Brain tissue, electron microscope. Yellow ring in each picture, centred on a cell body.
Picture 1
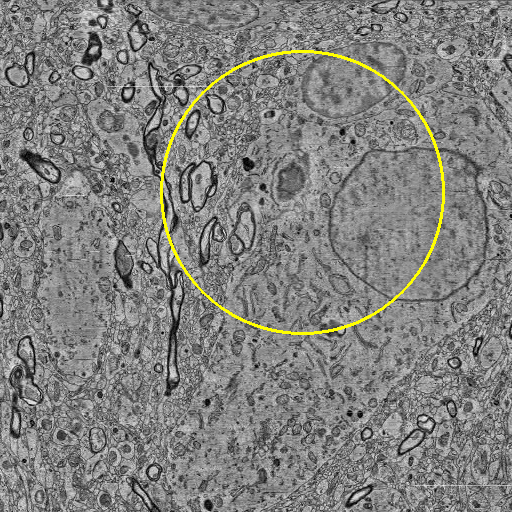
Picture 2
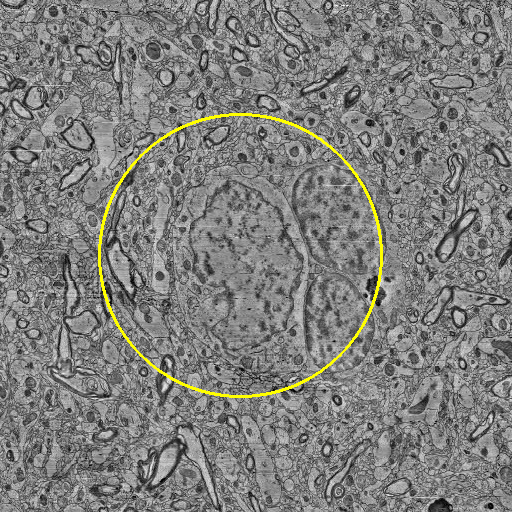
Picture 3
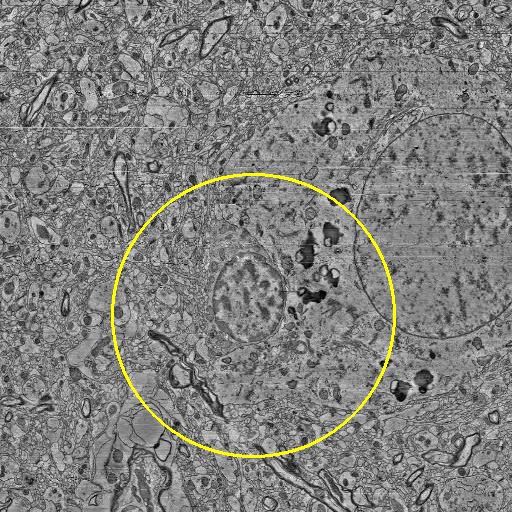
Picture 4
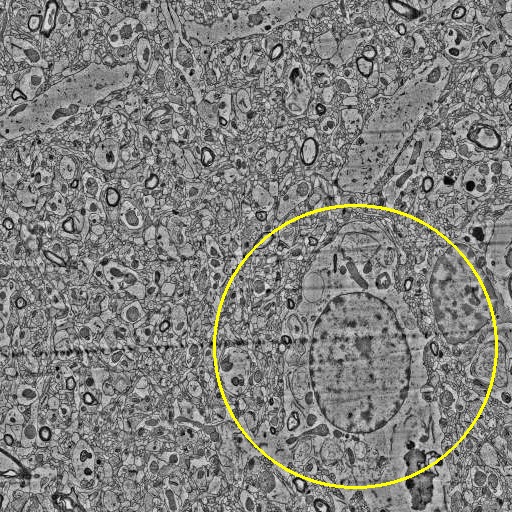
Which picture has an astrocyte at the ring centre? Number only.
4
